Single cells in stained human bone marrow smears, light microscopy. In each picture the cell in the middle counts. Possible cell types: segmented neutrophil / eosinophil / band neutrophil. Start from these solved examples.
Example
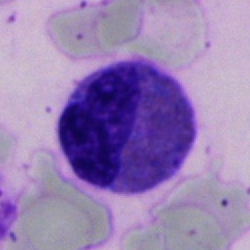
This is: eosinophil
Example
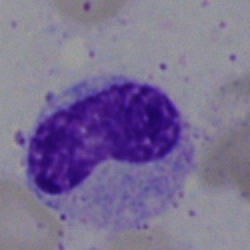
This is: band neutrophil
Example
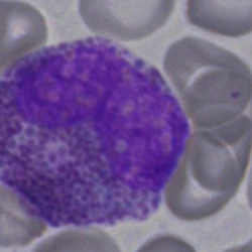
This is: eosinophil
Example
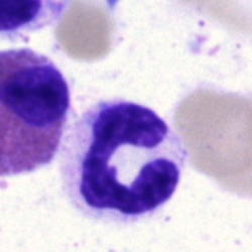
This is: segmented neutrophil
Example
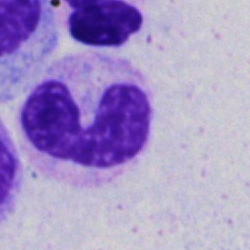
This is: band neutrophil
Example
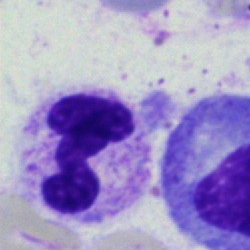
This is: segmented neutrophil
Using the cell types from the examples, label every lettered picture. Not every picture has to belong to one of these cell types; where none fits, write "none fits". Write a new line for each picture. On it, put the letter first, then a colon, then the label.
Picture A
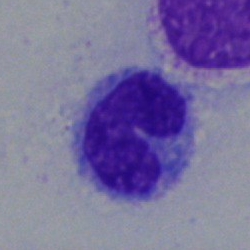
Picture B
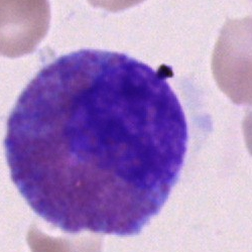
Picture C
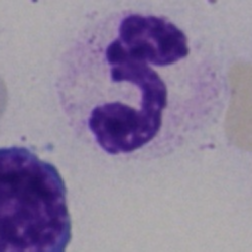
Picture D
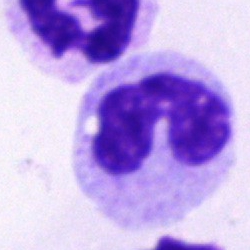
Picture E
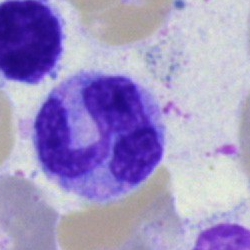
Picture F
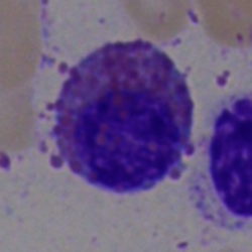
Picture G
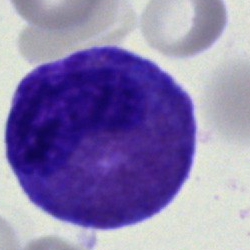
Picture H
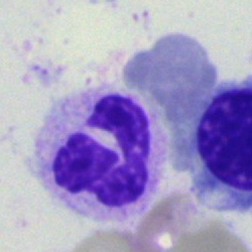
A: none fits
B: eosinophil
C: segmented neutrophil
D: band neutrophil
E: none fits
F: eosinophil
G: eosinophil
H: segmented neutrophil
